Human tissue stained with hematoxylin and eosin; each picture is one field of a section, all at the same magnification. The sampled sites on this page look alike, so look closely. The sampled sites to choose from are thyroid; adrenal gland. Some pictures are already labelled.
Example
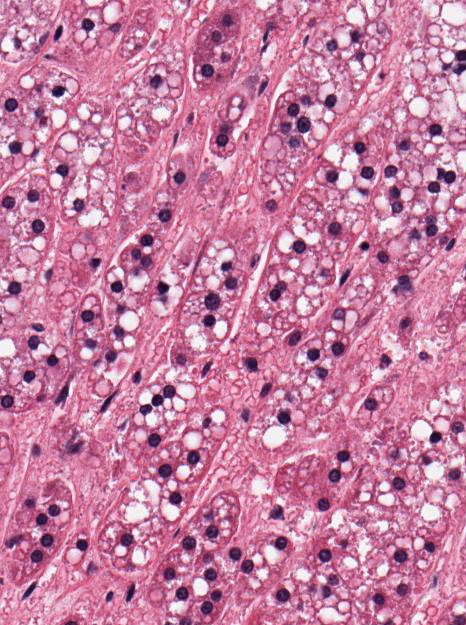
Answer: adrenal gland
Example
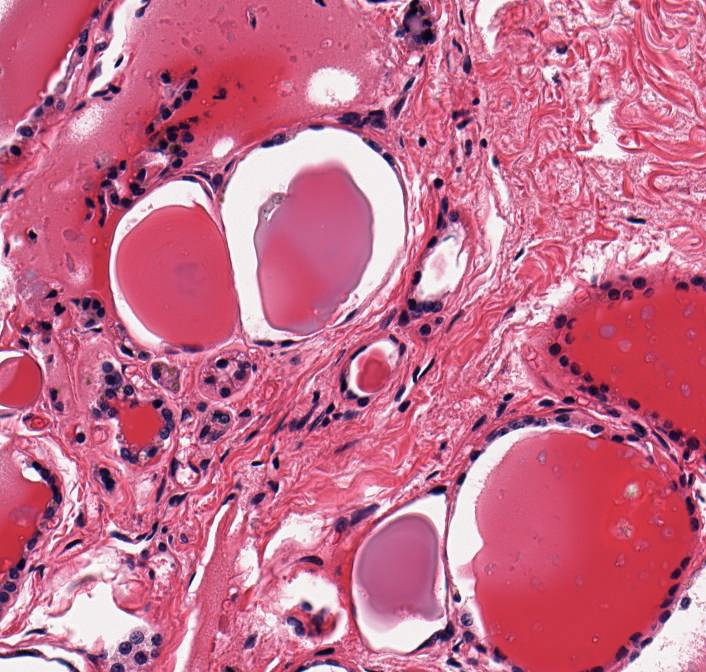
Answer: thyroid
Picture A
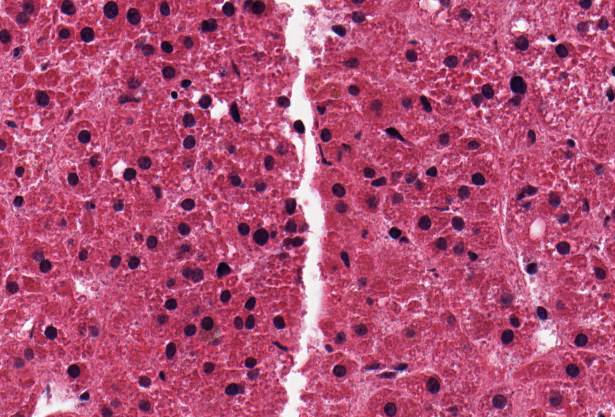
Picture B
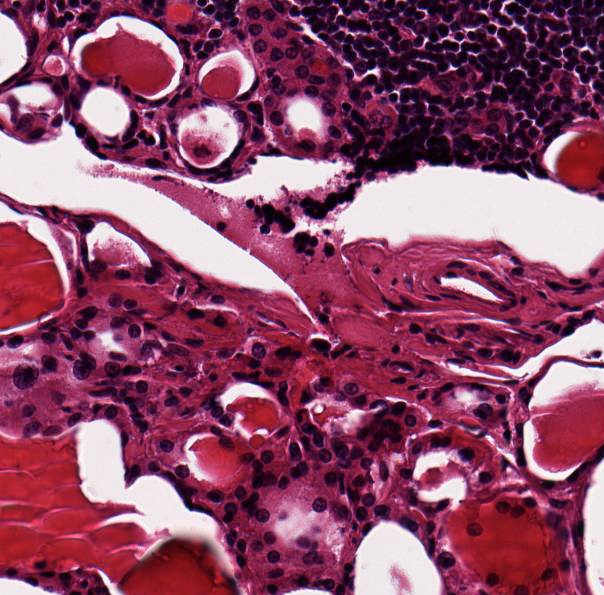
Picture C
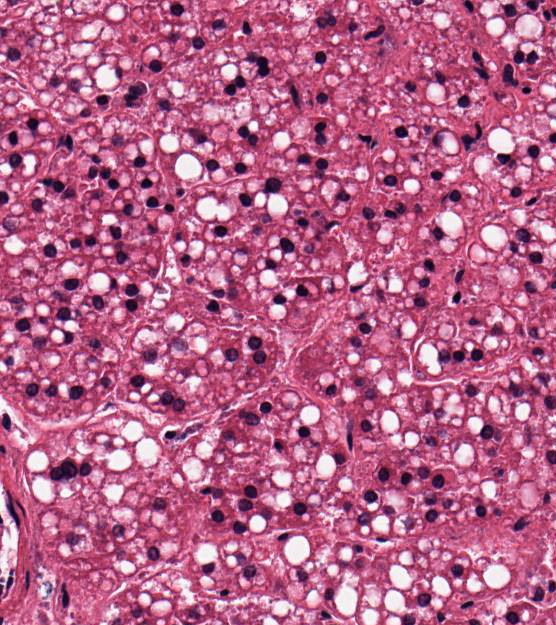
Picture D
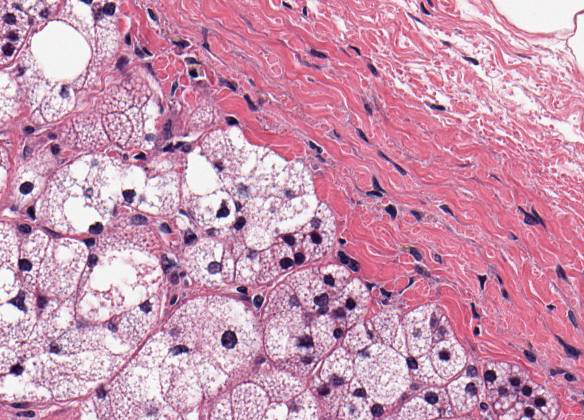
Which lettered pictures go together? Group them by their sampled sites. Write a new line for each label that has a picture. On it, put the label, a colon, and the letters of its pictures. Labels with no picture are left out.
thyroid: B
adrenal gland: A, C, D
